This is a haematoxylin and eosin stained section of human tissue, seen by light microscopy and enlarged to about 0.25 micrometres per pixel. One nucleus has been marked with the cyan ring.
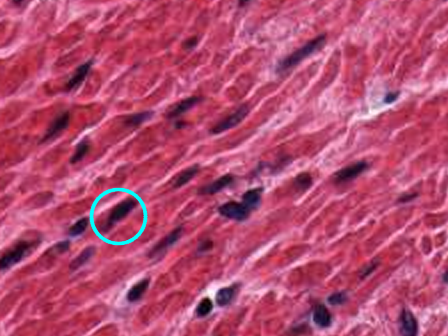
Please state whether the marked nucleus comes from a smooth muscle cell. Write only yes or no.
yes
